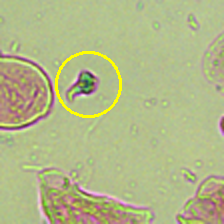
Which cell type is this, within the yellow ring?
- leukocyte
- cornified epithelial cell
Within the ring is a leukocyte.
